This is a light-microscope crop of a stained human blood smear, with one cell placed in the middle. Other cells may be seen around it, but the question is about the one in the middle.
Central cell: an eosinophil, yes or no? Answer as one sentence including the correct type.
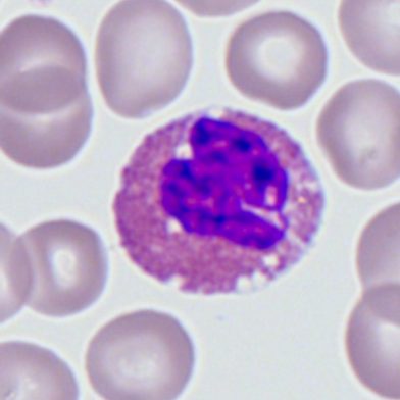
Yes, the cell at the heart of the crop is an eosinophil.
